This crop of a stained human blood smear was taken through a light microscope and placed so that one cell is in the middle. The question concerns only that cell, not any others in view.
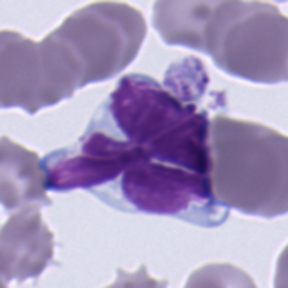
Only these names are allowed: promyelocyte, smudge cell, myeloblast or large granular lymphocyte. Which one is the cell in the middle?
large granular lymphocyte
